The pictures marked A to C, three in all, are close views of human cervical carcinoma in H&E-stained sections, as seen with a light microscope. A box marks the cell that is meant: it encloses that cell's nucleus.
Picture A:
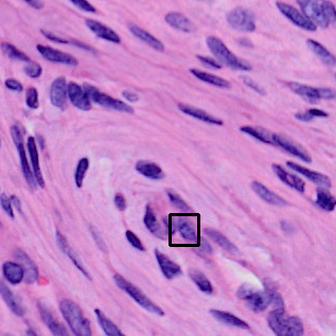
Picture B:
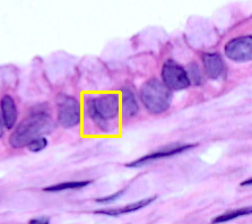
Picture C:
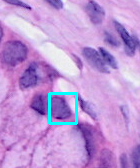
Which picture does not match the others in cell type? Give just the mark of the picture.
A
